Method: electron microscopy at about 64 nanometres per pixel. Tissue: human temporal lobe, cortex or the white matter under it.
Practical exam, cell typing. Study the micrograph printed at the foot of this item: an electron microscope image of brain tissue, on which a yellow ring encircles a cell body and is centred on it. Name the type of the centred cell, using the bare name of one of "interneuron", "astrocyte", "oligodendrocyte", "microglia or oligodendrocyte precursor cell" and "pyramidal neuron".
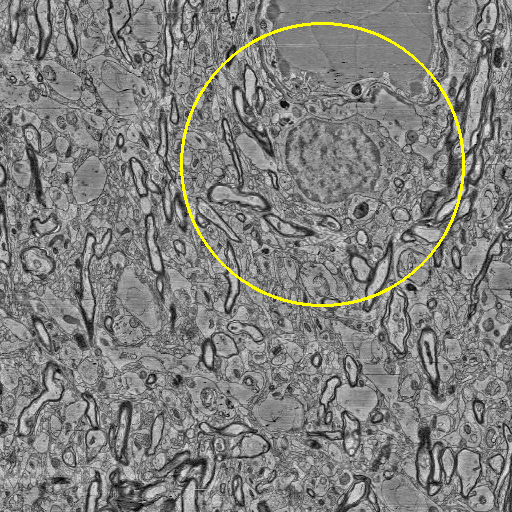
oligodendrocyte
